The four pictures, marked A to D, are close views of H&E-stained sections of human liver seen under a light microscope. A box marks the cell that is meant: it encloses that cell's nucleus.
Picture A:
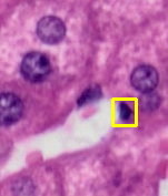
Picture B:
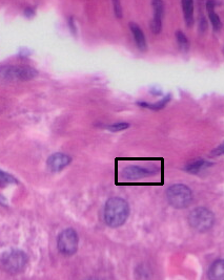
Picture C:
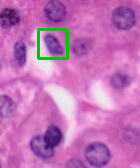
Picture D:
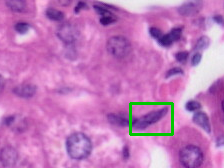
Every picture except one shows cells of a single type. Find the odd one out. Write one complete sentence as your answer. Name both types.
Unlike the rest, which show “fibroblasts or stellate cells”, picture C shows a Kupffer cell.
